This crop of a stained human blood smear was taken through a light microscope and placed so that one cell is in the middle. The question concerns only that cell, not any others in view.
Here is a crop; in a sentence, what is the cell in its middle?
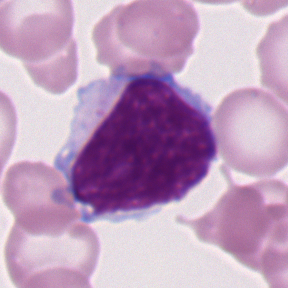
Whatever else lies nearby, the middle cell is a typical lymphocyte.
